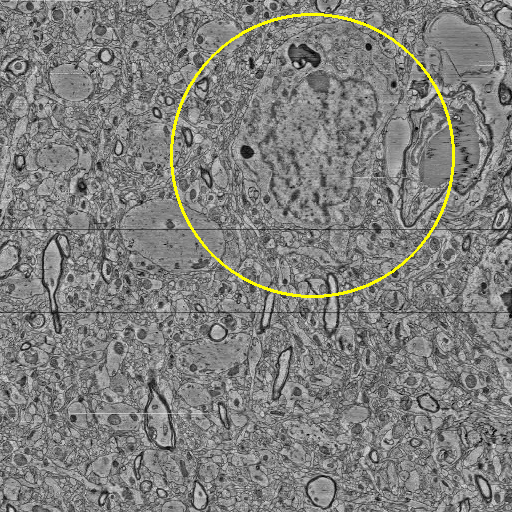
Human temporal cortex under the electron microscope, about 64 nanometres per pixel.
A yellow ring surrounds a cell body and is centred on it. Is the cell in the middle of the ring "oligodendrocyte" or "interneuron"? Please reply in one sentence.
The ring is centred on an interneuron.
